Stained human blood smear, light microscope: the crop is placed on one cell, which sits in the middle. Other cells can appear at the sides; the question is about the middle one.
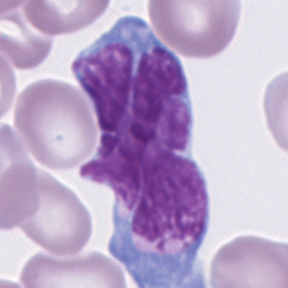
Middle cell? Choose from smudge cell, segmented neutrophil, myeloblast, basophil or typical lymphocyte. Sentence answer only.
Of the cells in this crop, the central one is a myeloblast.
